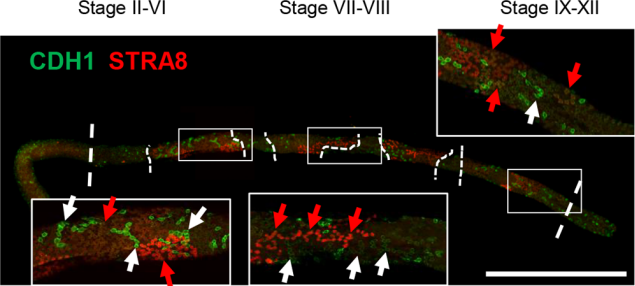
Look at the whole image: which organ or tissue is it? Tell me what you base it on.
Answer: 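A long, narrow, tube-shaped structure runs across the panel. Cells are arranged along the length of the tube. On this evidence: testicular tubules.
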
